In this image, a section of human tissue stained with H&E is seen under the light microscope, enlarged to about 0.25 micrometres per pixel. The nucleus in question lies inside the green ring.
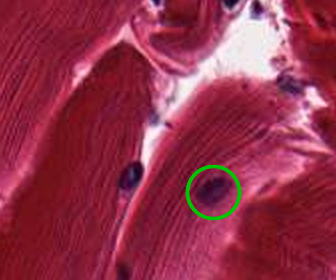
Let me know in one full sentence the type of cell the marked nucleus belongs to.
It is a skeletal muscle fibre that the marked nucleus belongs to.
